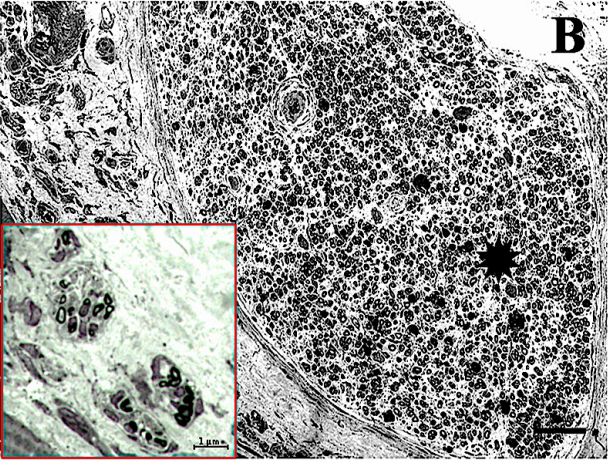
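This is a cross-section of peripheral nerve dominated by a large fascicle packed with myelinated axons. A band of paler fibrous tissue surrounds the fascicle and separates it from looser tissue at upper left that contains blood vessels and scattered fibers. The inset enlarges small groups of myelinated fibers lying outside the fascicle, each group of dark rings enclosed in its own pale sheath within light connective tissue.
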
